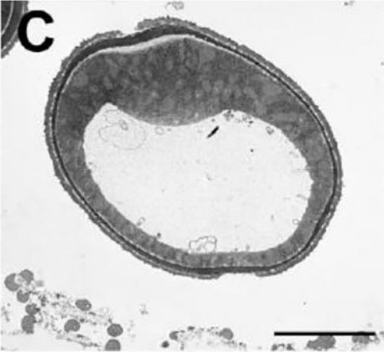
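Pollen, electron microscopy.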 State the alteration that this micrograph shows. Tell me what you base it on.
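The peripheral cytoplasm is evenly grey without white round inclusions. So: absence of starch granules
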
